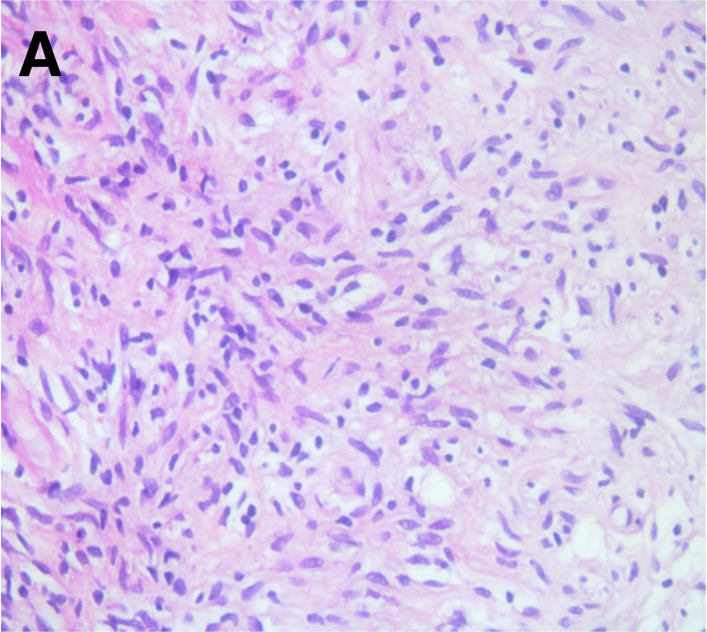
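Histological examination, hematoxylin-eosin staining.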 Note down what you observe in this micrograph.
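Spindle cell proliferation in a loose, pale pink fibrillary stroma. The cells have elongated to oval purple nuclei with tapered ends and scant pink cytoplasm, arranged loosely and haphazardly, with some small round nuclei scattered among them. Clear vacuolated spaces are present in parts of the stroma.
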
